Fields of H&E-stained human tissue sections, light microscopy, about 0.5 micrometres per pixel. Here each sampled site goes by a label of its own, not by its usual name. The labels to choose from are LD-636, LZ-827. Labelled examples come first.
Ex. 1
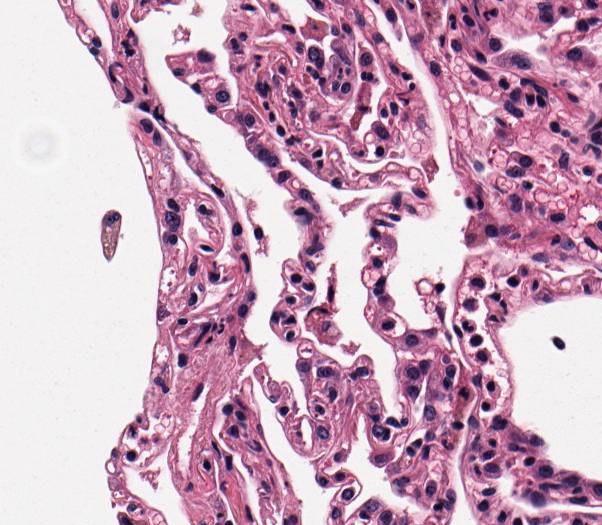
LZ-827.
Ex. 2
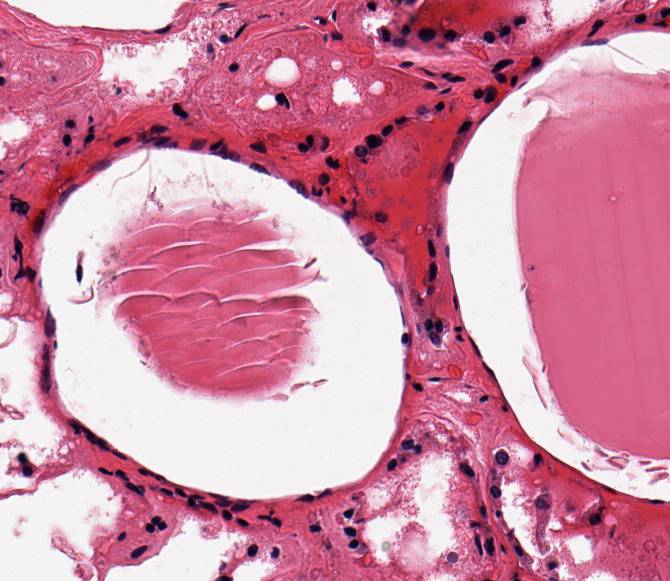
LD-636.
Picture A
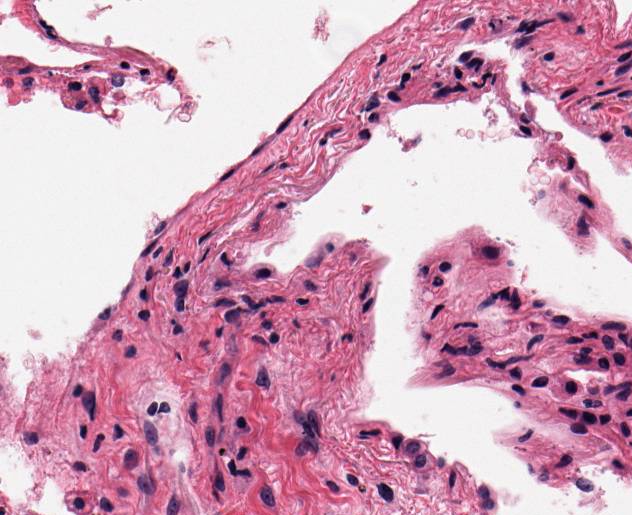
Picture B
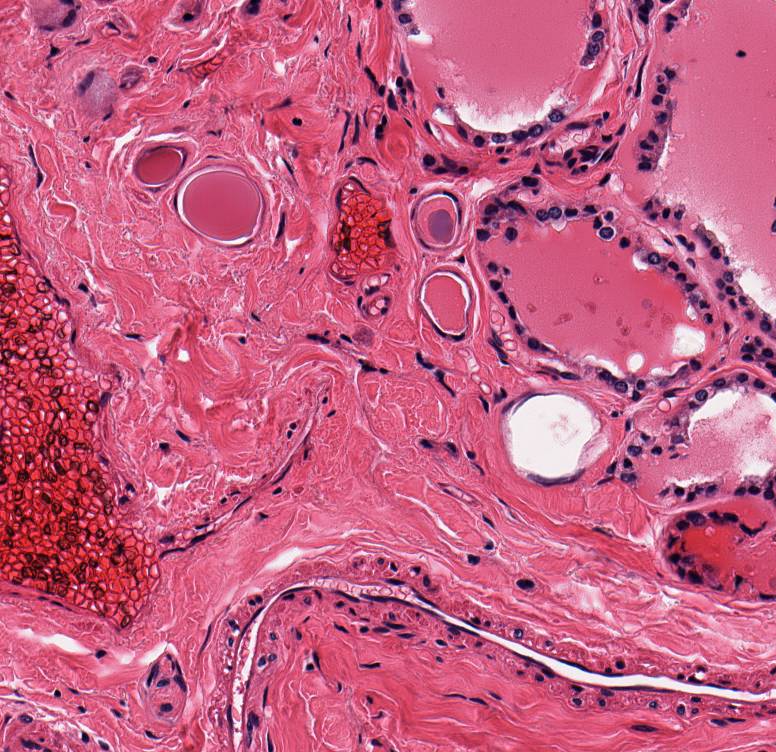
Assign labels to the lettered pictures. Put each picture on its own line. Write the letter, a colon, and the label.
A: LZ-827.
B: LD-636.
